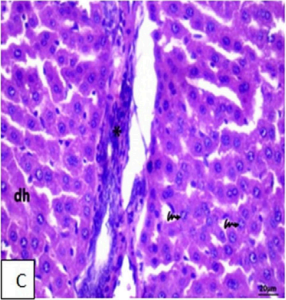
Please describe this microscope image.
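This is liver parenchyma crossed by a vessel-like cleft lined by a dense band of small, darkly stained round nuclei, a lymphatic infiltrate. On either side, hepatocyte cords run with pink cytoplasm and round nuclei. Some hepatocytes look paler and less regular than their neighbours. The sinusoids between the cords appear as irregular clear spaces.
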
